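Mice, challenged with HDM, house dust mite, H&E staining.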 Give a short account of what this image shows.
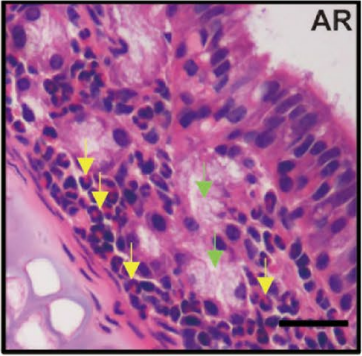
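A columnar surface epithelium lines the upper right, and beneath it the connective tissue is crowded with many small cells with dark, rounded nuclei, some with pinkish cytoplasm. Pale, foamy patches lie within this crowded layer, and pale purple cartilage or bone sits at the lower left. This is nasal mucosa with a dense cellular infiltrate that includes eosinophils, among which lie pale mucus glands.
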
